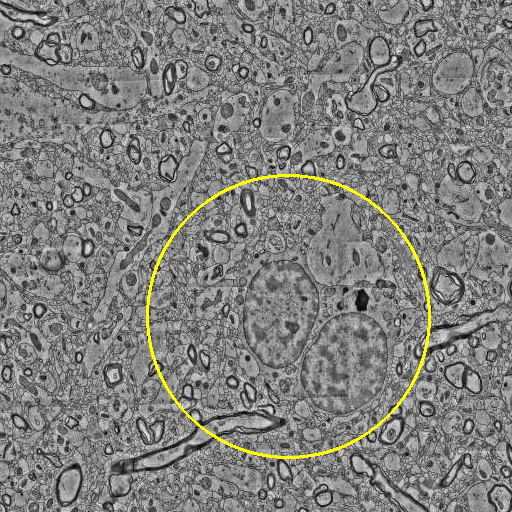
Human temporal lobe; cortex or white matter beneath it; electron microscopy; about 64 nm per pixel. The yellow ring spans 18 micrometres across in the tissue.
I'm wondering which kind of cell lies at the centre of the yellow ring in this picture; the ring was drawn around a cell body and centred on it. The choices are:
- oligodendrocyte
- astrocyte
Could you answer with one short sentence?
At the centre of the ring lies an oligodendrocyte.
